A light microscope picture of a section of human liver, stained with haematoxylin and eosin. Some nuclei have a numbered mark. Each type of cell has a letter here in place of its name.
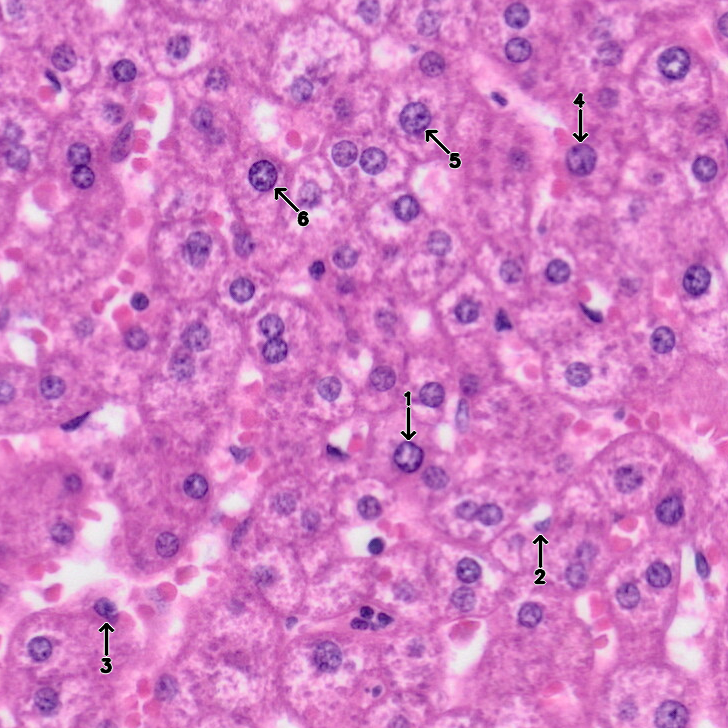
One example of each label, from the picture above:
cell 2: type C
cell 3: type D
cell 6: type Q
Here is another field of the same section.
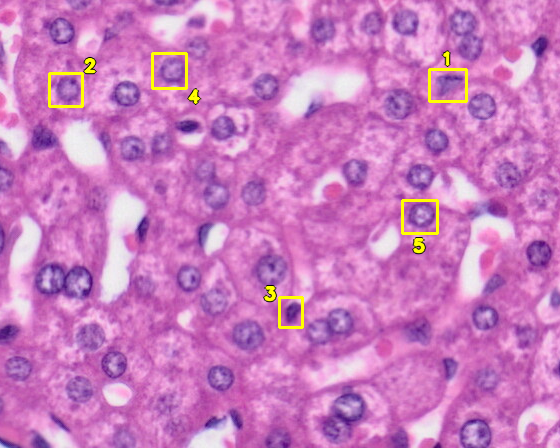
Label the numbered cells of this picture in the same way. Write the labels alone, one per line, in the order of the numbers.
type C
type Q
type D
type Q
type Q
